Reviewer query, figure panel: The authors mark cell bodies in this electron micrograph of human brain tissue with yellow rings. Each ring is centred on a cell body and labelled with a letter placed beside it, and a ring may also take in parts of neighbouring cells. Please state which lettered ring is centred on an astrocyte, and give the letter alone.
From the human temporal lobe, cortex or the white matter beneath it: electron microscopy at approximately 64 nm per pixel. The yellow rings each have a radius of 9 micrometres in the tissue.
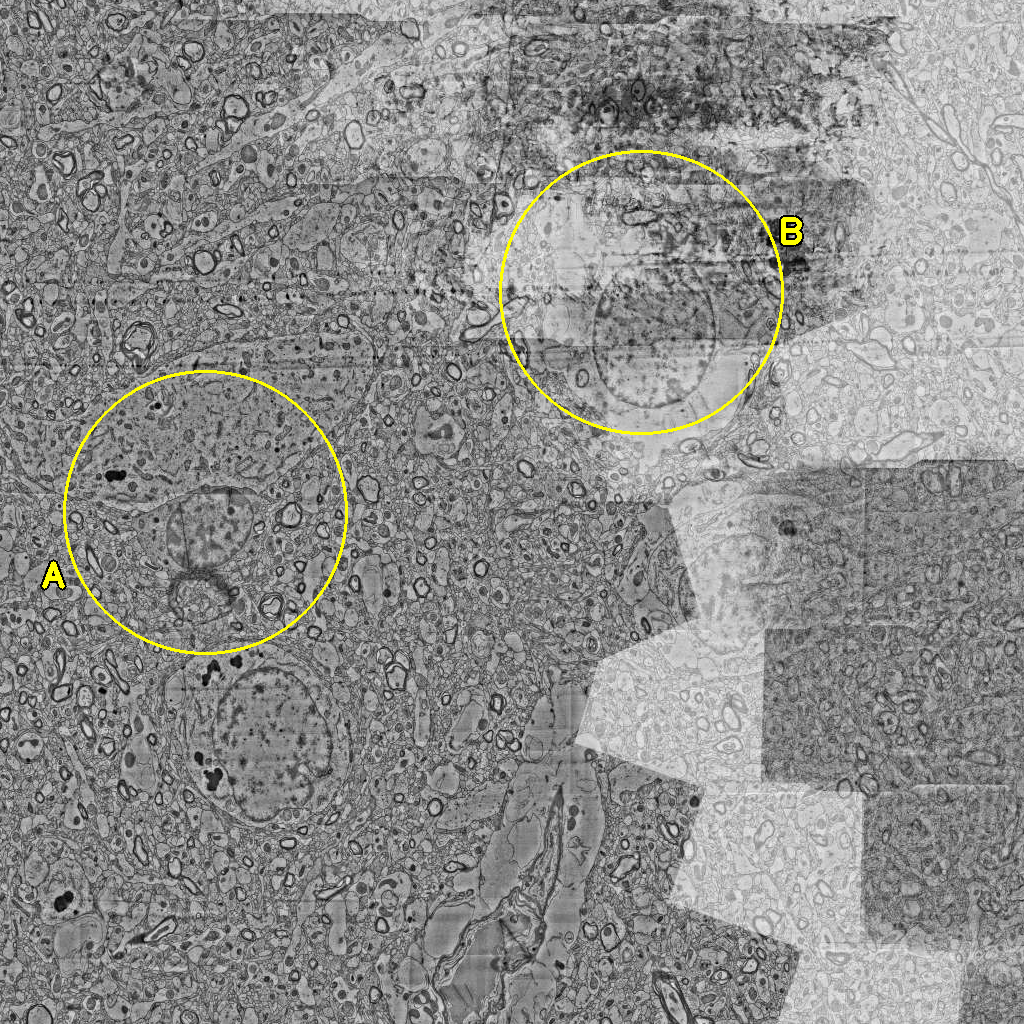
B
